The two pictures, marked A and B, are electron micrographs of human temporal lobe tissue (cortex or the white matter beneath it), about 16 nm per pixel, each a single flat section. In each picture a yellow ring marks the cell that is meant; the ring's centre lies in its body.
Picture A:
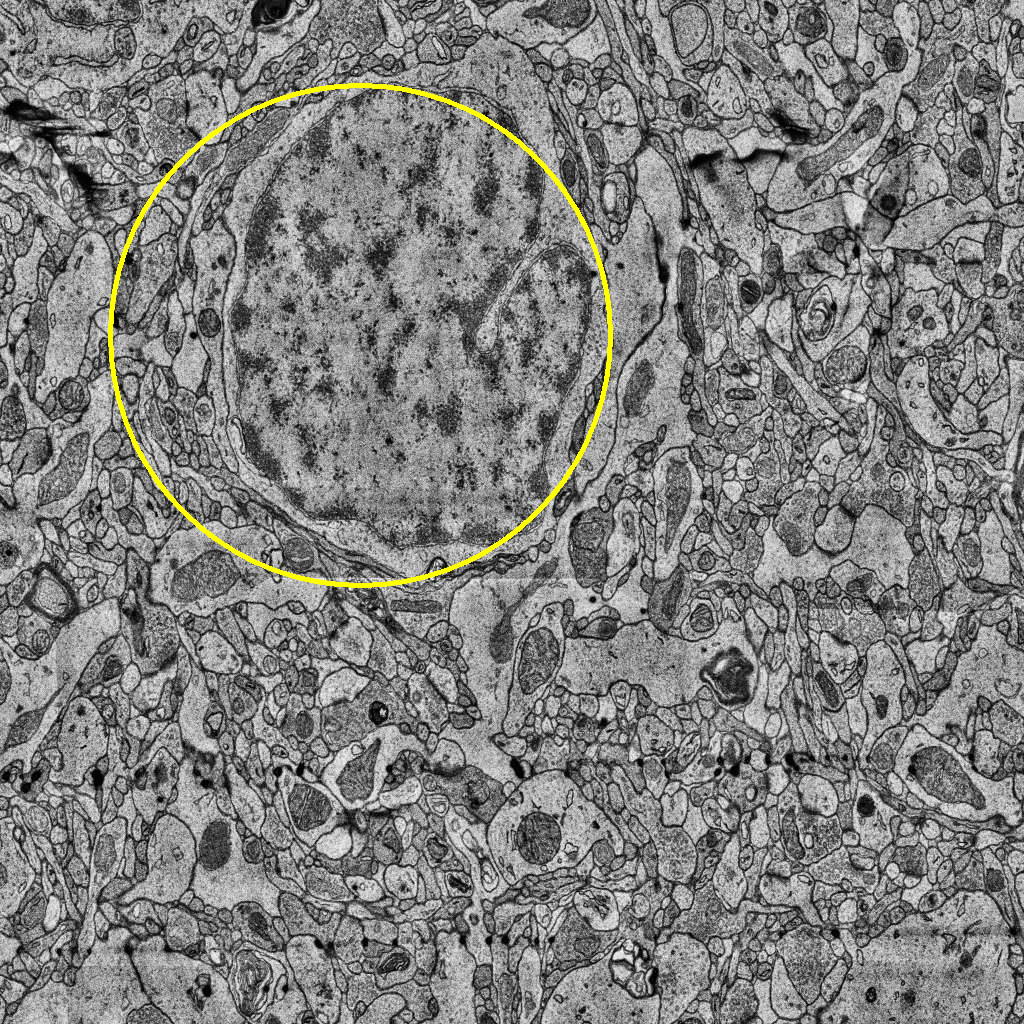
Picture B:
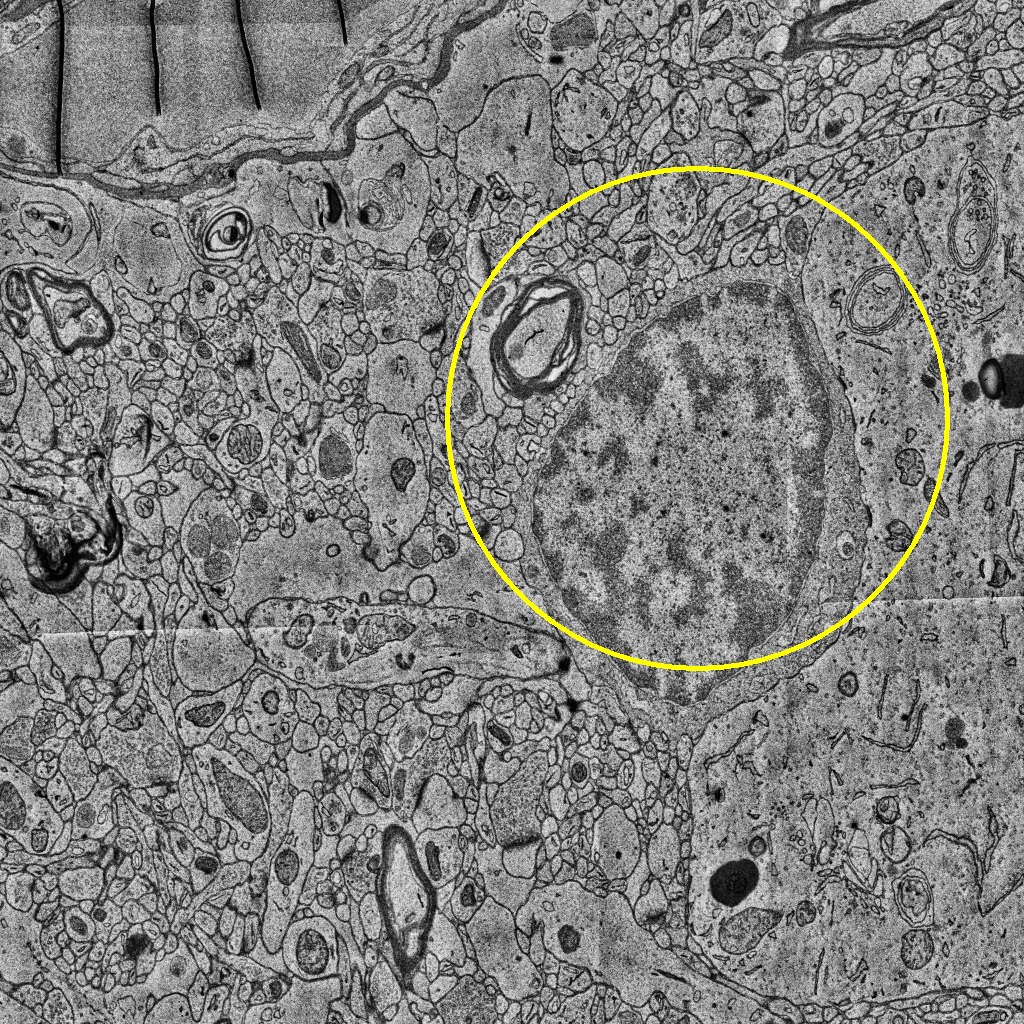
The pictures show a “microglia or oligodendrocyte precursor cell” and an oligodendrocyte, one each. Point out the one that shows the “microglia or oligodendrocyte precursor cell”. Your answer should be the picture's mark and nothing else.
A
